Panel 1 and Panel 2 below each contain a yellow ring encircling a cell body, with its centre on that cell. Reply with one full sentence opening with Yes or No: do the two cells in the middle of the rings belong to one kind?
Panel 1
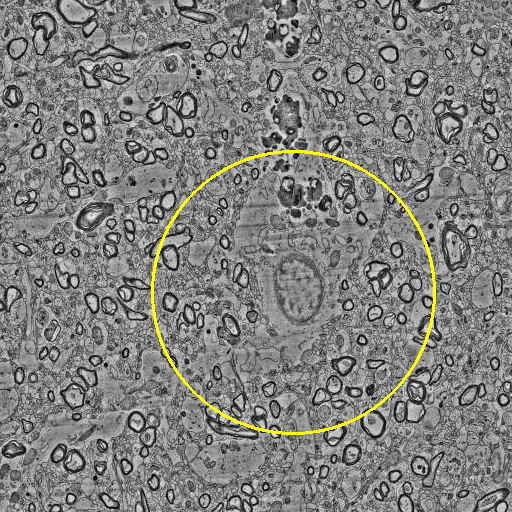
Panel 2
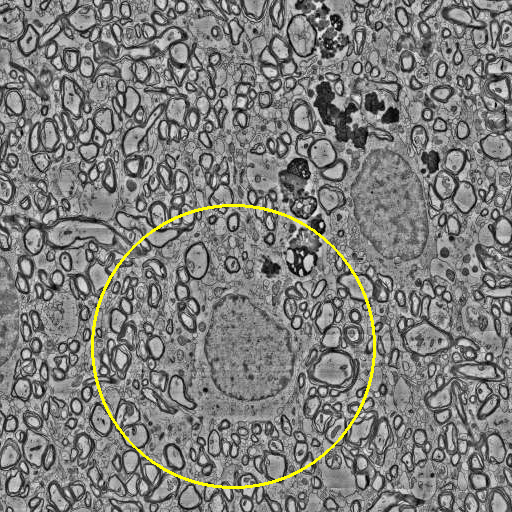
Yes, the cells at the middle of the Panel 1 ring and the Panel 2 ring are of one kind.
